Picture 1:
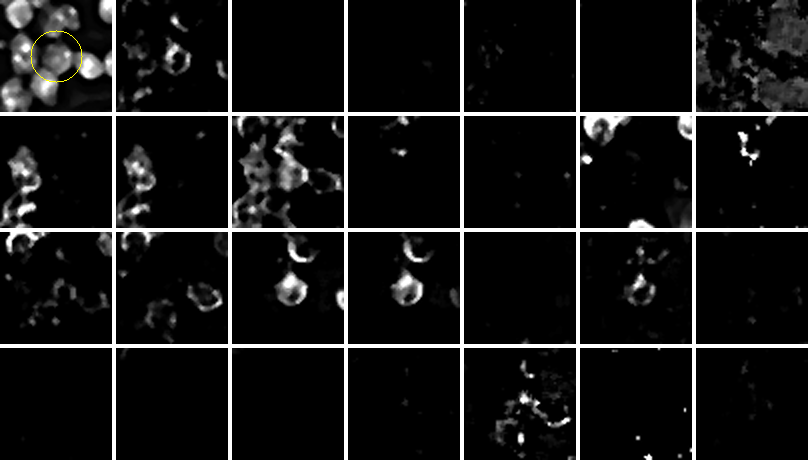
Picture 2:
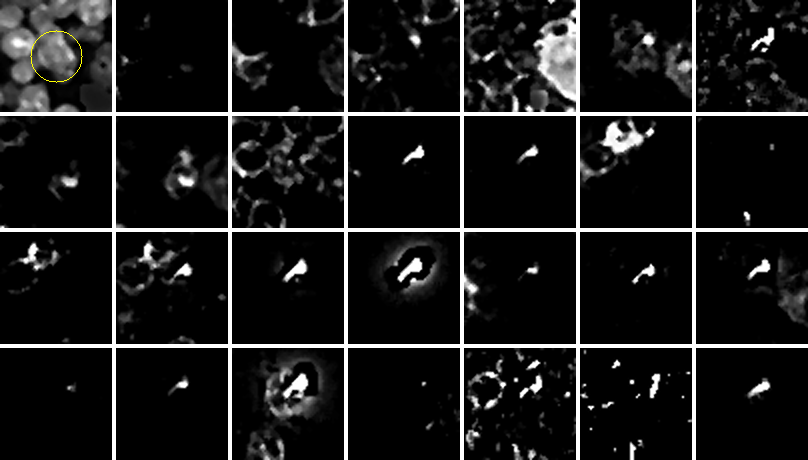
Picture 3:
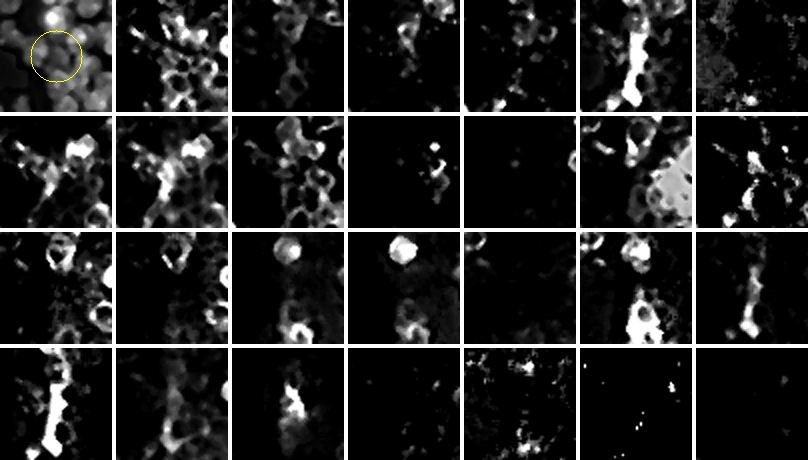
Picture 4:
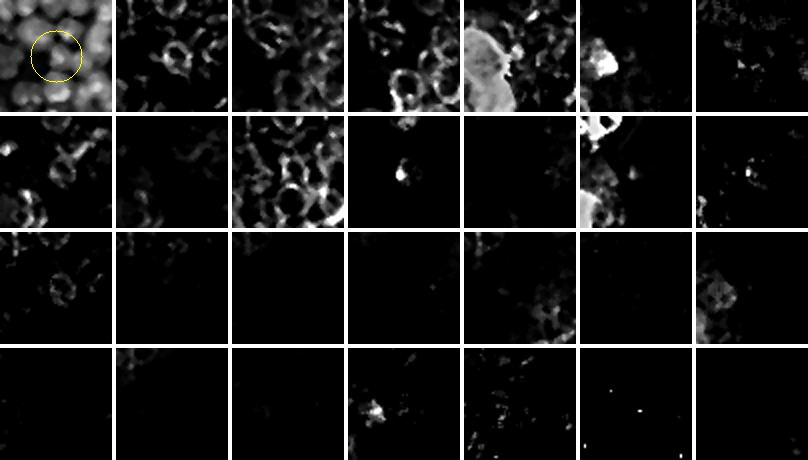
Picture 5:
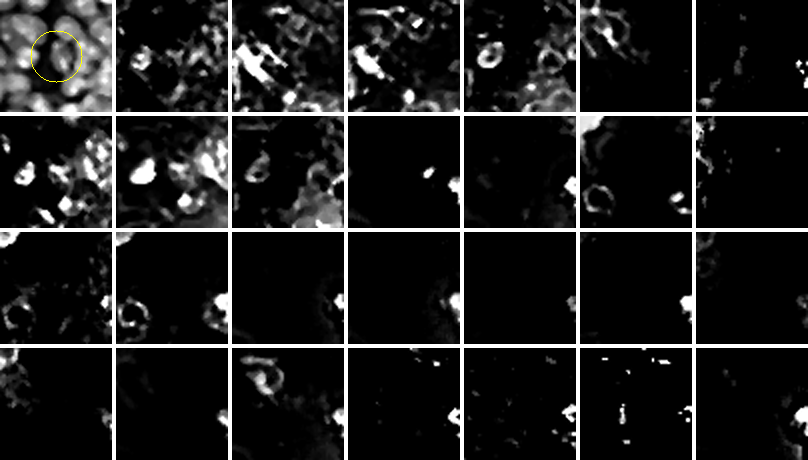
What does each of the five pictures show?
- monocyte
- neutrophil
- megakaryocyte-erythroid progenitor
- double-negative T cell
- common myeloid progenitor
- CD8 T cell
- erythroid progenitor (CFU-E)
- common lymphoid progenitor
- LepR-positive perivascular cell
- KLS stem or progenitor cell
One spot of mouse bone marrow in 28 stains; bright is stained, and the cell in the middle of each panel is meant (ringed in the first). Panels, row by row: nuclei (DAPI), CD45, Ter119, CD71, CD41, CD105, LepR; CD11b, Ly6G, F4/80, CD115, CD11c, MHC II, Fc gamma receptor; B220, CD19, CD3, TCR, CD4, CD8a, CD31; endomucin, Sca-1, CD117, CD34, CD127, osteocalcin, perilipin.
(1) double-negative T cell
(2) KLS stem or progenitor cell
(3) erythroid progenitor (CFU-E)
(4) monocyte
(5) neutrophil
